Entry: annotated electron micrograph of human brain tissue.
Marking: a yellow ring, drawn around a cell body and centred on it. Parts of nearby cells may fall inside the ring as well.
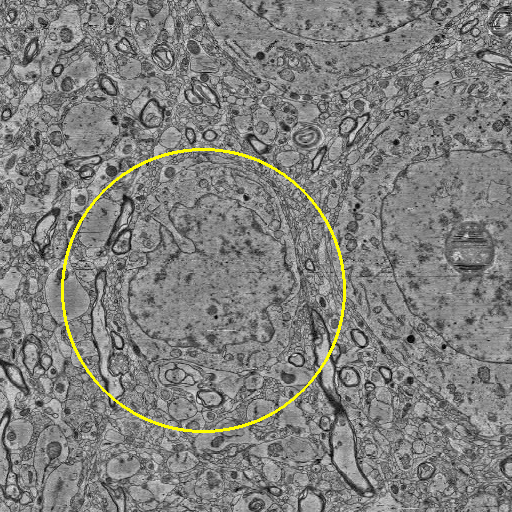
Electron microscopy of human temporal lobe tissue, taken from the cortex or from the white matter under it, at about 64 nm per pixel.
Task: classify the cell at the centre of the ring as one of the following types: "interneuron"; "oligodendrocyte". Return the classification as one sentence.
The marked cell is classified as an interneuron.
